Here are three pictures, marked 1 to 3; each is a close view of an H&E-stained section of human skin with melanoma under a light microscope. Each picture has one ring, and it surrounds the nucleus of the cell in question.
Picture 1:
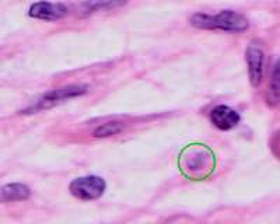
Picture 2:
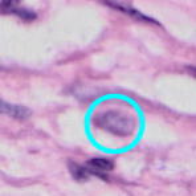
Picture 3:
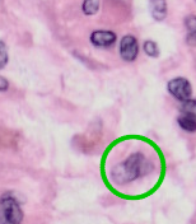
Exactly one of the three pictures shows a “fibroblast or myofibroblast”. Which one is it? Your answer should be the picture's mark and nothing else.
2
